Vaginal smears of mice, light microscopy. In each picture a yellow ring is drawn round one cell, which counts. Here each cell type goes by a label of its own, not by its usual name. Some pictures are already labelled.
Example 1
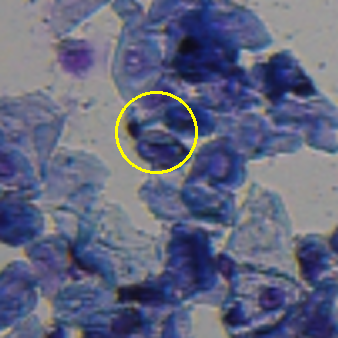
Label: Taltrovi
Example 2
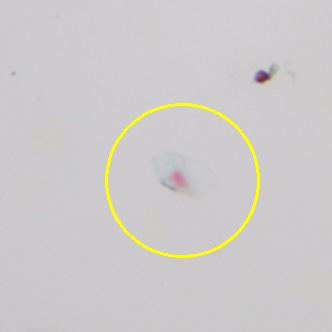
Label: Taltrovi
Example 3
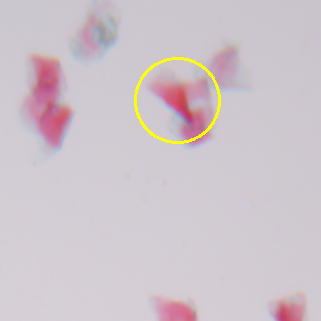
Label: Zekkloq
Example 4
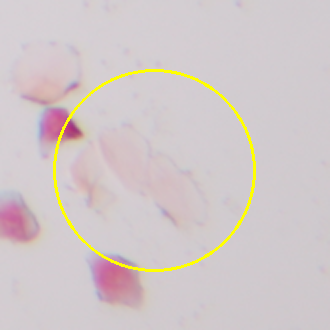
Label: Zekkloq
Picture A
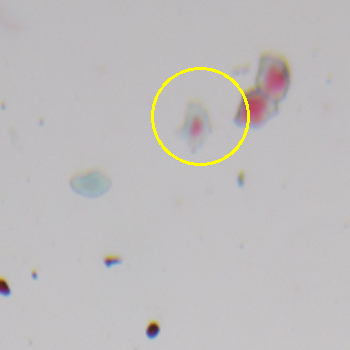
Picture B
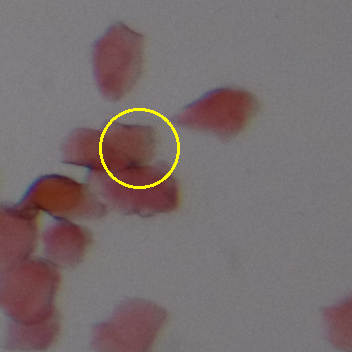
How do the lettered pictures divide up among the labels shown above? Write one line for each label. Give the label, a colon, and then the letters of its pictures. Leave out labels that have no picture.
Taltrovi: A
Zekkloq: B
